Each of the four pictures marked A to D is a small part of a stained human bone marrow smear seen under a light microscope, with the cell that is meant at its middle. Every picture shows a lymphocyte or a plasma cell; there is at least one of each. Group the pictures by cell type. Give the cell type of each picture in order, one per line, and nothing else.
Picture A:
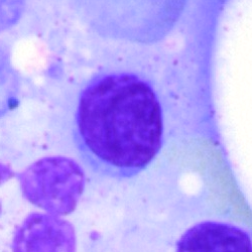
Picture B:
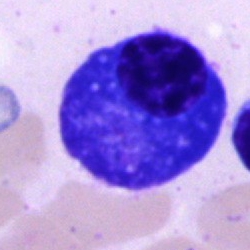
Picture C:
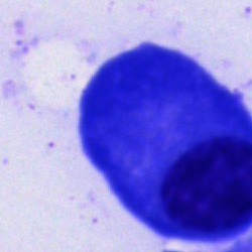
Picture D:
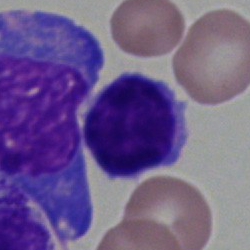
lymphocyte
plasma cell
plasma cell
lymphocyte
